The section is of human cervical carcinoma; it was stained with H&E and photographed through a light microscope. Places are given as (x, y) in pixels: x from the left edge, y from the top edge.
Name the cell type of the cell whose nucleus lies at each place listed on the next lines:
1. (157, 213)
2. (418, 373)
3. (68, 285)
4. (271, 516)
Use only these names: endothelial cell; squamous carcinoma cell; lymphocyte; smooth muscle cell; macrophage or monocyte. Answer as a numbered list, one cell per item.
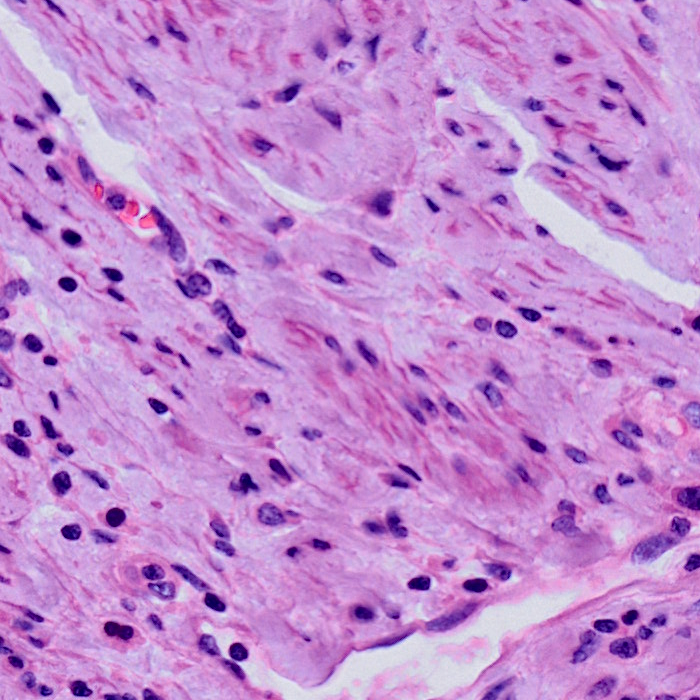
1. endothelial cell
2. smooth muscle cell
3. lymphocyte
4. macrophage or monocyte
